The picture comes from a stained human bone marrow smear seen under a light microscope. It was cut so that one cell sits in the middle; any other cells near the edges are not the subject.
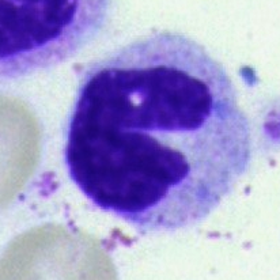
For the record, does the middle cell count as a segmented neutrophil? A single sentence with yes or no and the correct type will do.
No, the cell of interest here is a band neutrophil and not a segmented neutrophil.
